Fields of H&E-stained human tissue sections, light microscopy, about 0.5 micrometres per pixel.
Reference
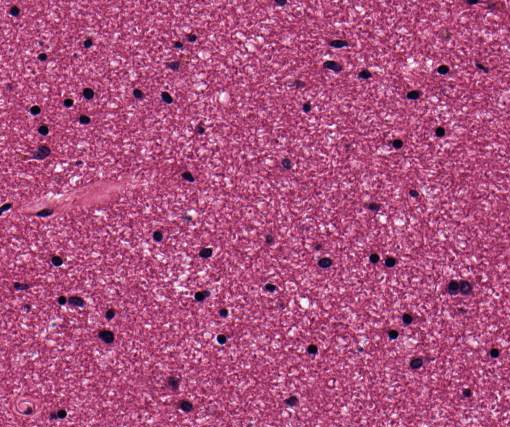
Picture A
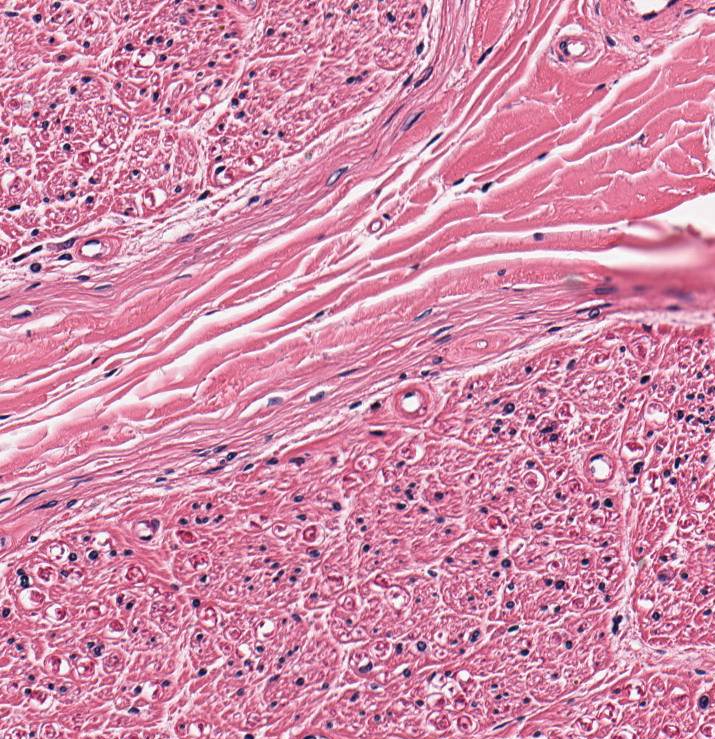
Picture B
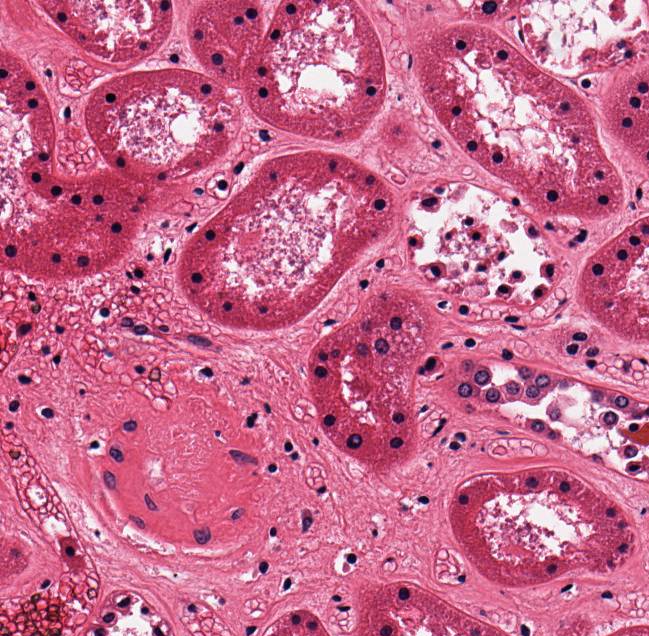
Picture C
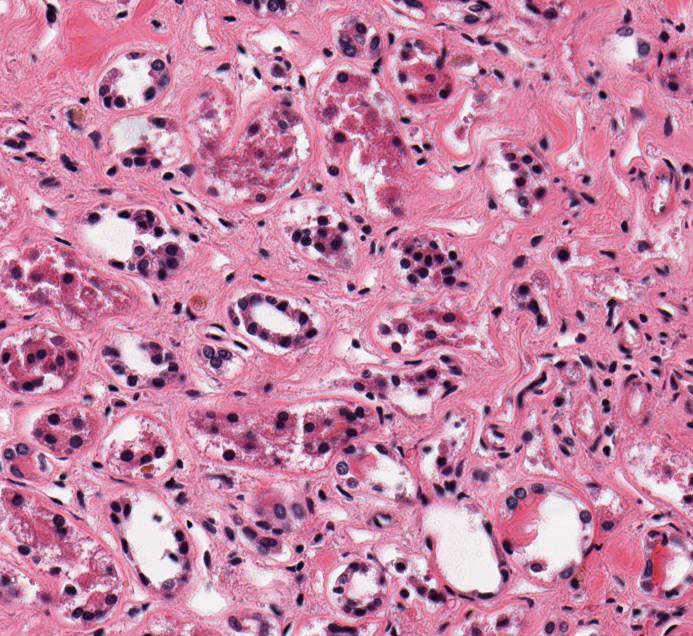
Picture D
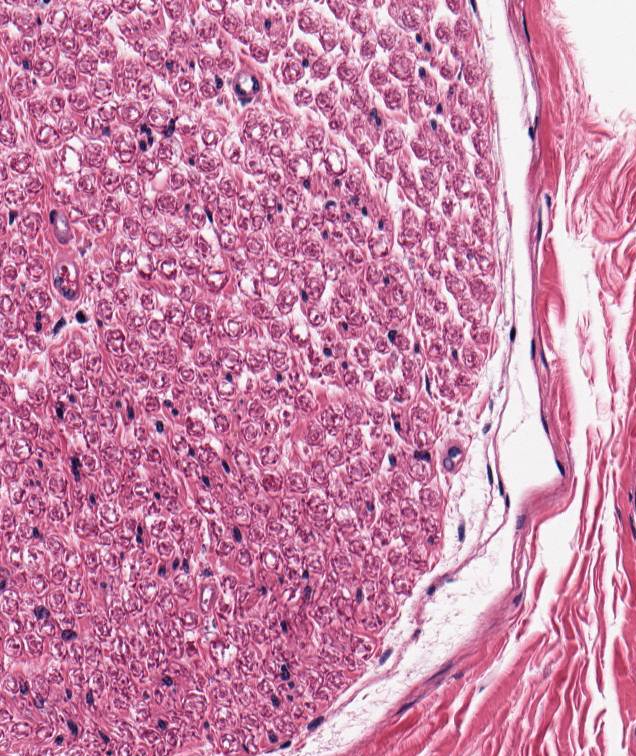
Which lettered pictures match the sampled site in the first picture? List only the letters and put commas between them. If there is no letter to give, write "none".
none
